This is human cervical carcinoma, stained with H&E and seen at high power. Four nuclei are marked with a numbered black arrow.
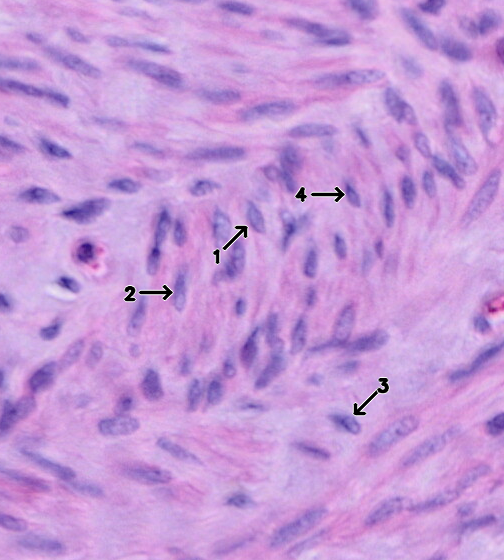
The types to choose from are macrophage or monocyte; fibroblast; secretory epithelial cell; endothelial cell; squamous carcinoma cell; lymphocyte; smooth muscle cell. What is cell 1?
smooth muscle cell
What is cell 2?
smooth muscle cell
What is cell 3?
fibroblast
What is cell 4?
smooth muscle cell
